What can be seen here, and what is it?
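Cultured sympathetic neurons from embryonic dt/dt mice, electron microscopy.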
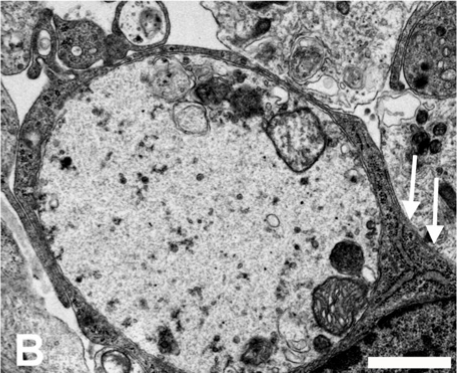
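Here a swollen nerve cell process is seen in cross-section, wrapped by a Schwann cell. The swelling is a large, rounded profile whose interior is pale and finely granular, with filaments lying in no particular direction. Scattered inside are several mitochondria with visible cristae, a few membrane-bound vesicles and small dark bodies. Around the whole profile runs a thin, darker rim of cytoplasm belonging to the enveloping Schwann cell; at the lower right this rim thickens, and the dense nucleus of that cell lies close by. Other small processes and cell fragments crowd the surroundings.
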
